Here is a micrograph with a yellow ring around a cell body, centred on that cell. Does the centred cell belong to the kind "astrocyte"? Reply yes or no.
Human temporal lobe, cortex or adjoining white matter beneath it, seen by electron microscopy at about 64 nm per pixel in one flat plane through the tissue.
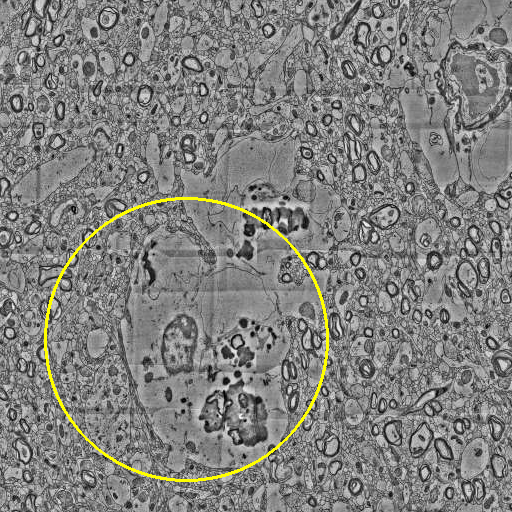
yes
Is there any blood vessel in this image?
Yes, a blood vessel can be seen.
